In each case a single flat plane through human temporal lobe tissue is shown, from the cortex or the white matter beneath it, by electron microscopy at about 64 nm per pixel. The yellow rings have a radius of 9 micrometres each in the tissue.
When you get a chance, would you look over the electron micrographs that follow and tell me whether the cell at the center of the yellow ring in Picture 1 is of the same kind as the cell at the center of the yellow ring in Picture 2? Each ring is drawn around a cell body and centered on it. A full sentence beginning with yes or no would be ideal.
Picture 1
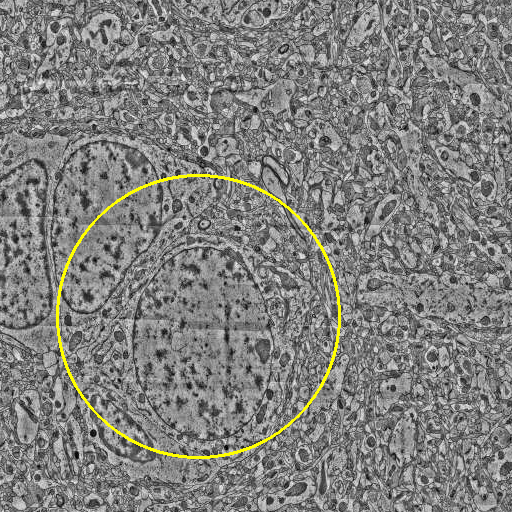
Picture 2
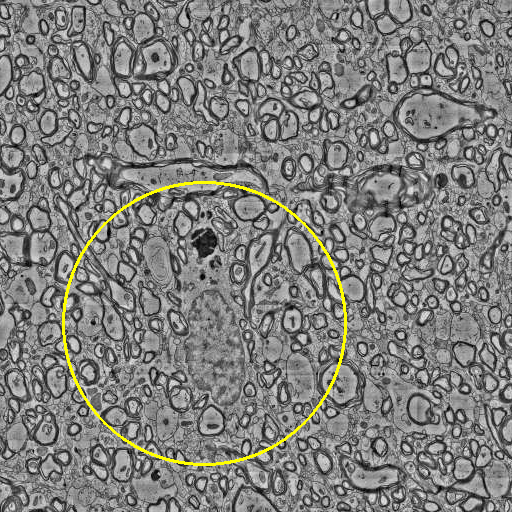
No, they are two kinds of cell.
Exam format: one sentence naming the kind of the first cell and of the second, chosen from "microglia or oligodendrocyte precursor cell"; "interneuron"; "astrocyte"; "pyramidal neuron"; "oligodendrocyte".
The first picture's cell is a pyramidal neuron, and the second picture's cell is an oligodendrocyte.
